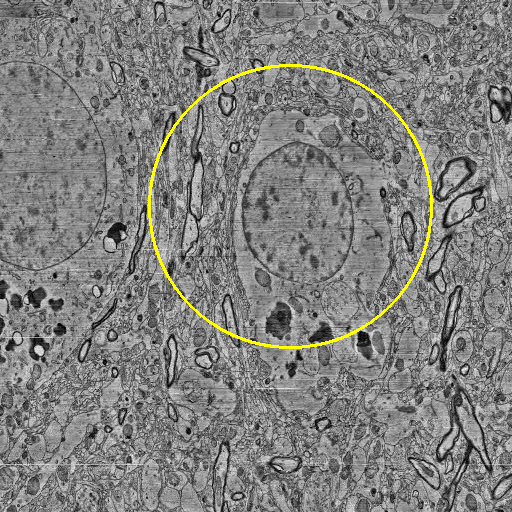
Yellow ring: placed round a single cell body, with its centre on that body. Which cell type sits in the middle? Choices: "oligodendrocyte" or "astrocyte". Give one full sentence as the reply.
It is an astrocyte whose cell body sits at the centre of the yellow ring.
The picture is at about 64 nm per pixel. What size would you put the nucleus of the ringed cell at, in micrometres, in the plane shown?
The nucleus of the ringed cell is approximately 10 by 7 micrometres in this plane.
